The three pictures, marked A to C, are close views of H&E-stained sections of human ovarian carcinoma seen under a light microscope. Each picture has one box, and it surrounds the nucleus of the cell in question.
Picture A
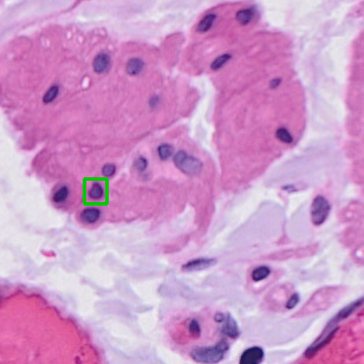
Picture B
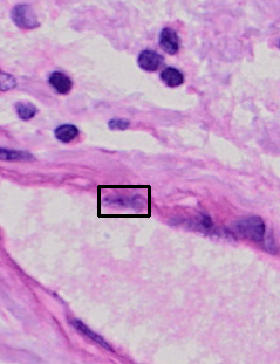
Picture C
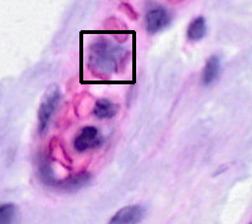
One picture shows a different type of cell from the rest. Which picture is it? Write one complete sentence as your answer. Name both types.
The others show endothelial cells, but picture A shows a smooth muscle cell.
